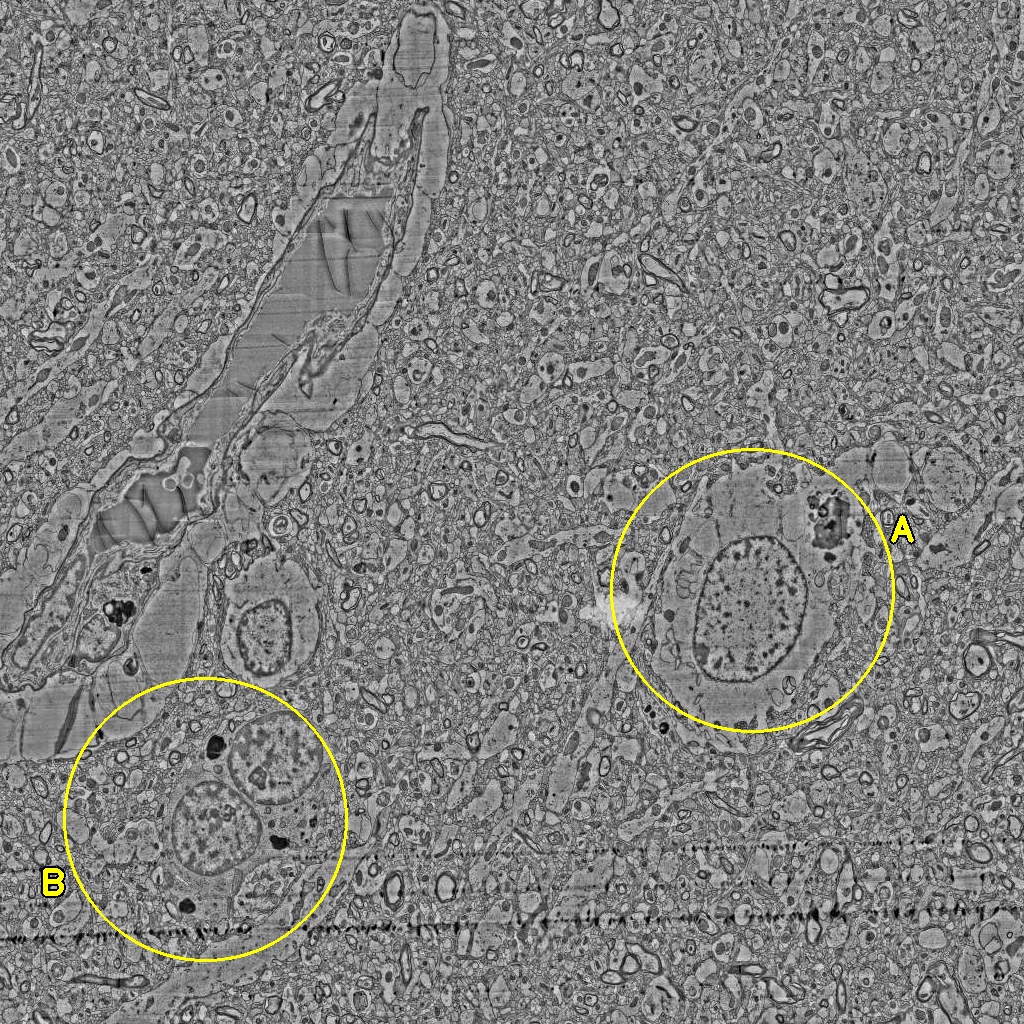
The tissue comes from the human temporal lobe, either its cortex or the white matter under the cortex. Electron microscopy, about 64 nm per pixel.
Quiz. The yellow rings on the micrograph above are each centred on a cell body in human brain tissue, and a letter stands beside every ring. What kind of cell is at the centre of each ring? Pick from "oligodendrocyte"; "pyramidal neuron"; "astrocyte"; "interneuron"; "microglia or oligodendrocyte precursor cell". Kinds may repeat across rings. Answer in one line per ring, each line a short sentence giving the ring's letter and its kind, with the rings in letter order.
The ring labelled A has an astrocyte at its centre.
The ring labelled B has an oligodendrocyte at its centre.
